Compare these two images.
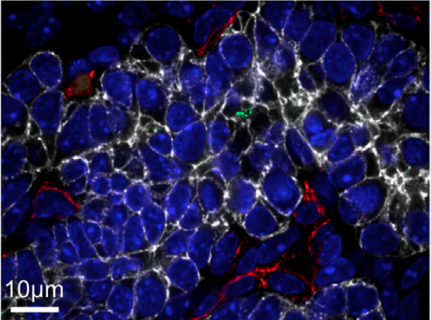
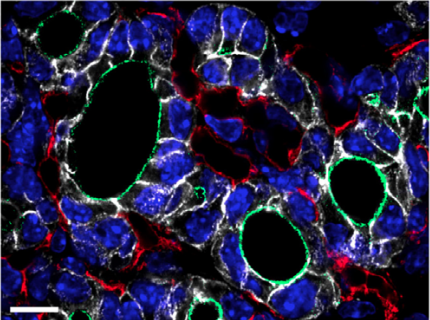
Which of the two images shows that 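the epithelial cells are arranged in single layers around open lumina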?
The second image.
